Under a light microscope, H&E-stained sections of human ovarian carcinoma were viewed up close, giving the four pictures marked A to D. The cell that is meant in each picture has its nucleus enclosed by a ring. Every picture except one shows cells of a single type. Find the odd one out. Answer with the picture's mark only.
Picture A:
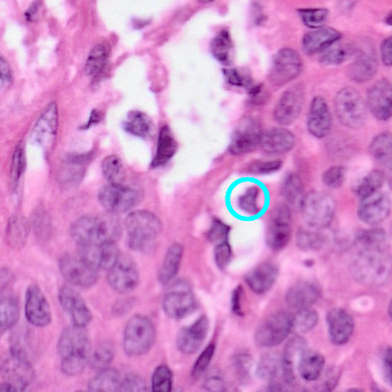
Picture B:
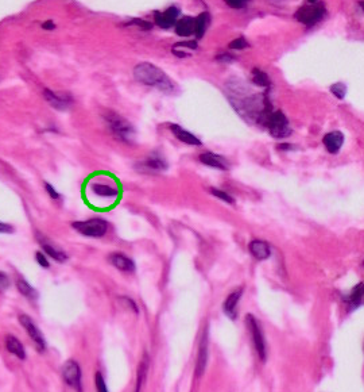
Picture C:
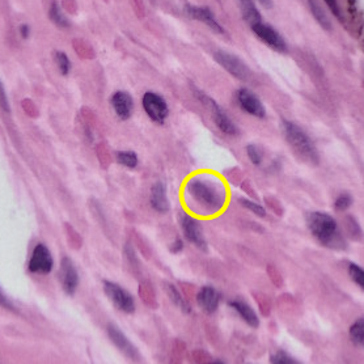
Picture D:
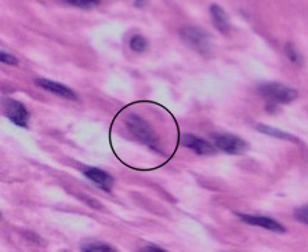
A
